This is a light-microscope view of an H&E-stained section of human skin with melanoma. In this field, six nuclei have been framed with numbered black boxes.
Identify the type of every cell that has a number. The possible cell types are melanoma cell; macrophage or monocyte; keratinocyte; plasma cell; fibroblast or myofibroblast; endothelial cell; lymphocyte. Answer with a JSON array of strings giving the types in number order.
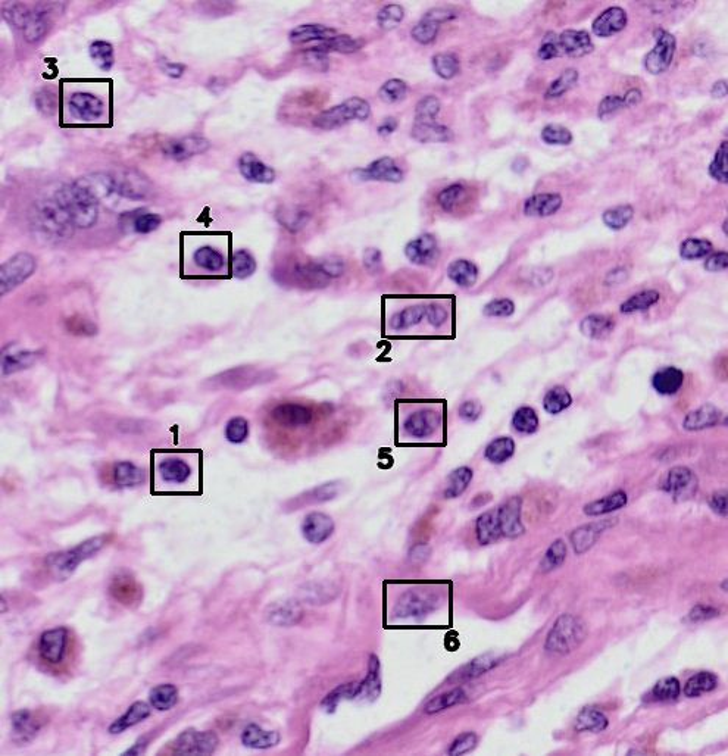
["lymphocyte", "macrophage or monocyte", "lymphocyte", "lymphocyte", "macrophage or monocyte", "endothelial cell"]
